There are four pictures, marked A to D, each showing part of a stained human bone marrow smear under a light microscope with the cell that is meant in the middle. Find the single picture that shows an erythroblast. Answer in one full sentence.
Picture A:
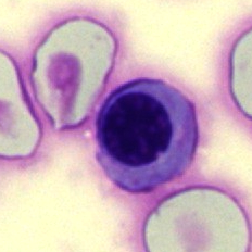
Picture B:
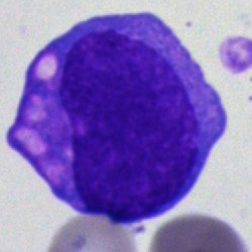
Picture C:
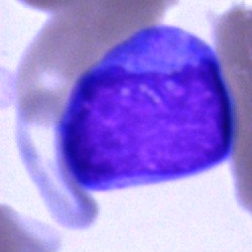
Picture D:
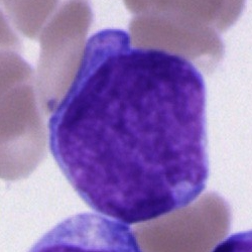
The erythroblast is the one in picture A.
